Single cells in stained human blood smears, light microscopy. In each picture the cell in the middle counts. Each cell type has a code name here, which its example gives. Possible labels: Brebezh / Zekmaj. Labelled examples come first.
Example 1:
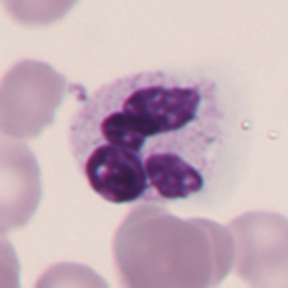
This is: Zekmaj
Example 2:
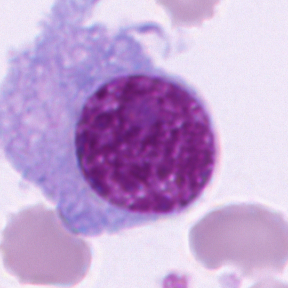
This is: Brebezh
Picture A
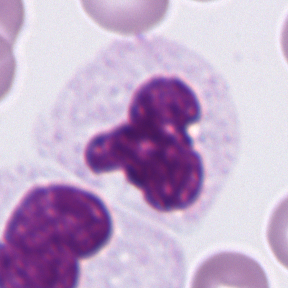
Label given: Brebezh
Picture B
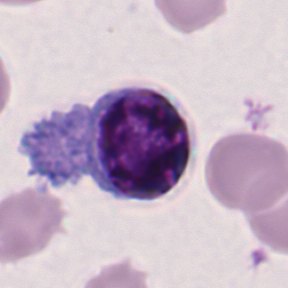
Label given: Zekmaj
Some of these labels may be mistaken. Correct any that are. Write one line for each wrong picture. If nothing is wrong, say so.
A: change Brebezh to Zekmaj
B: change Zekmaj to Brebezh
